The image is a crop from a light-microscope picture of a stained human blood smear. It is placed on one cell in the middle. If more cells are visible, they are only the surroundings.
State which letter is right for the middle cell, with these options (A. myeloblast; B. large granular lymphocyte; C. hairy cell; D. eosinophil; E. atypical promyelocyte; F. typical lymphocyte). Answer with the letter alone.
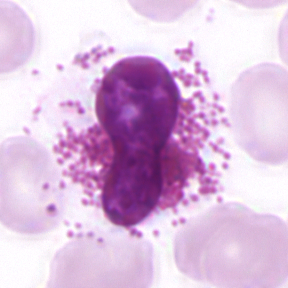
D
